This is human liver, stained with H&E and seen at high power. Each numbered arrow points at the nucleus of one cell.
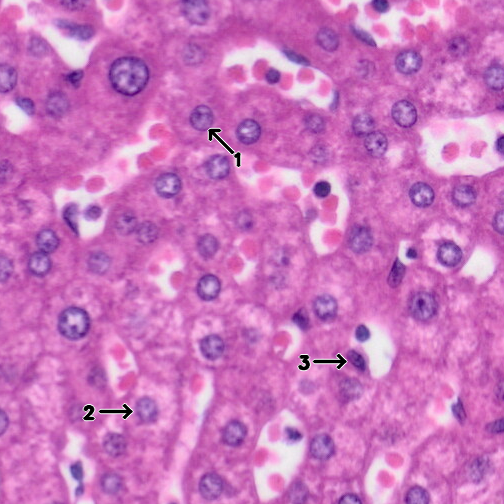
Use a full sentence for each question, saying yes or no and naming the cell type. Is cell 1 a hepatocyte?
Yes, that one, number 1, is a hepatocyte.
